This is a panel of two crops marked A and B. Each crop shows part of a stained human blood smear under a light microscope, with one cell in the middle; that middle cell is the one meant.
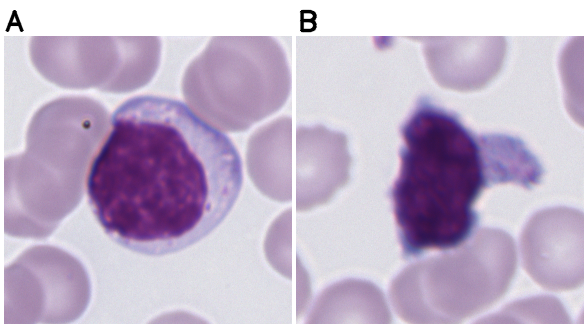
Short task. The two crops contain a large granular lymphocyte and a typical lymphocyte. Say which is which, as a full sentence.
Well, crop A is a large granular lymphocyte, and crop B is a typical lymphocyte.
